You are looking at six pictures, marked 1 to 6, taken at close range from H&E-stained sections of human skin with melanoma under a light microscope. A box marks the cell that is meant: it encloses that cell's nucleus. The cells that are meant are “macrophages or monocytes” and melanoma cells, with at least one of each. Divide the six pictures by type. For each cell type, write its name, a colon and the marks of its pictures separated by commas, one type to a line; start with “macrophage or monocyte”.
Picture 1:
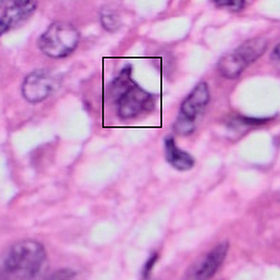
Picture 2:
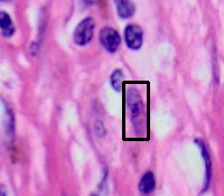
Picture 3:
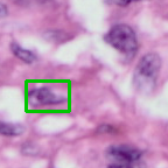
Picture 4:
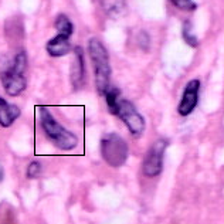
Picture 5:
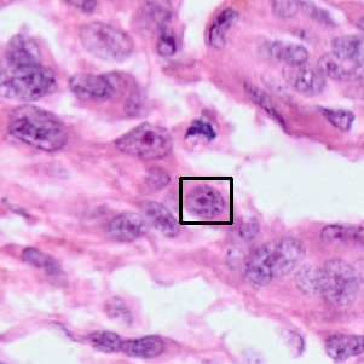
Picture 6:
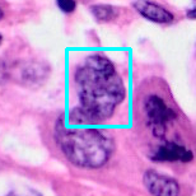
macrophage or monocyte: 2, 4
melanoma cell: 1, 3, 5, 6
